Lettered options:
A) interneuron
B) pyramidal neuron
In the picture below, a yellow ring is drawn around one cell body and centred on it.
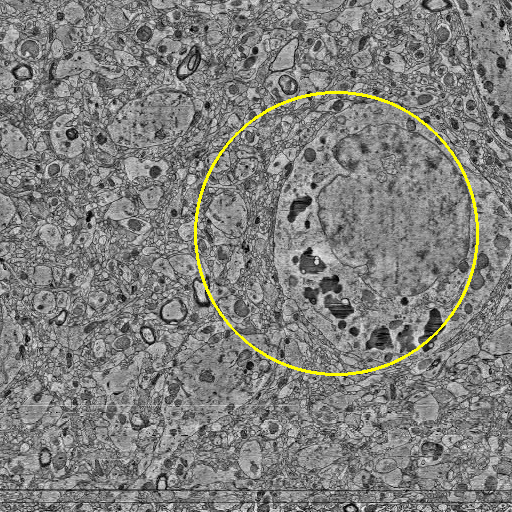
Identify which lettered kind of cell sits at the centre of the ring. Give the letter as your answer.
A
